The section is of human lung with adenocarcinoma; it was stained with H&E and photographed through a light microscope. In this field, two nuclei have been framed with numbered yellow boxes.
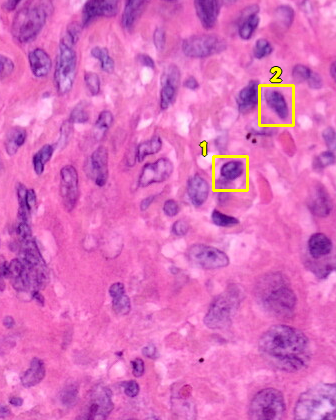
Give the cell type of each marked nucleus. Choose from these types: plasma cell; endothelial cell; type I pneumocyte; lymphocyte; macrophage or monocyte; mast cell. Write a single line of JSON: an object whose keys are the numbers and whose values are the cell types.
{"1": "lymphocyte", "2": "mast cell"}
